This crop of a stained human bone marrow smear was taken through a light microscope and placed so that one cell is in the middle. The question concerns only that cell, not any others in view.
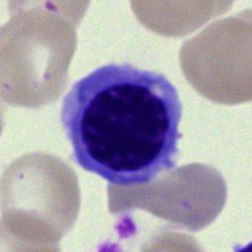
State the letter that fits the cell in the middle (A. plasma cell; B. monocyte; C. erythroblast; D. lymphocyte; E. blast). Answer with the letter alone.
C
